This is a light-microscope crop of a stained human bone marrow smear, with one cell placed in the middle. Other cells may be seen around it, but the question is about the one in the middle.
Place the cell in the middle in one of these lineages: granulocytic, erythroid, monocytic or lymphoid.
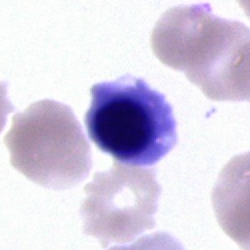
erythroid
